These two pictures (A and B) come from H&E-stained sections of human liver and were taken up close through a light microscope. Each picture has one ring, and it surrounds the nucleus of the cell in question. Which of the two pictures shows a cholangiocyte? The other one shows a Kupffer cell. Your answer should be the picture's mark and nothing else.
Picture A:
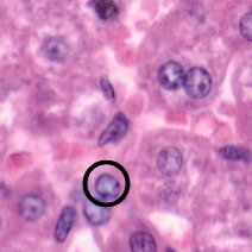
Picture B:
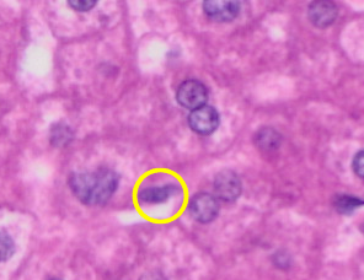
A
